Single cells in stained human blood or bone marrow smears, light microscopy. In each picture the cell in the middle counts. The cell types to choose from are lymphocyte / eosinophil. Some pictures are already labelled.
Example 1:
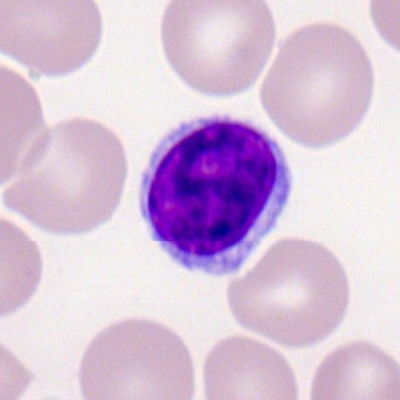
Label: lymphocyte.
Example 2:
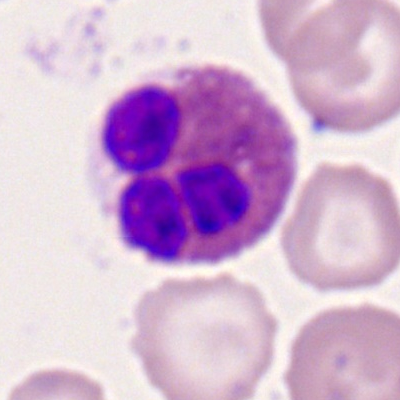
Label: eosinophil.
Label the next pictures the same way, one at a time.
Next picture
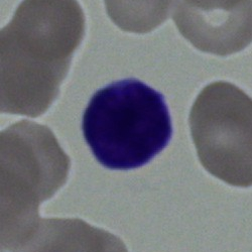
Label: lymphocyte.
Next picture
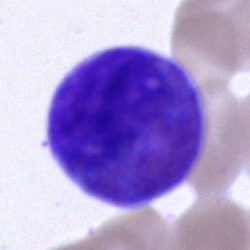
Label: eosinophil.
